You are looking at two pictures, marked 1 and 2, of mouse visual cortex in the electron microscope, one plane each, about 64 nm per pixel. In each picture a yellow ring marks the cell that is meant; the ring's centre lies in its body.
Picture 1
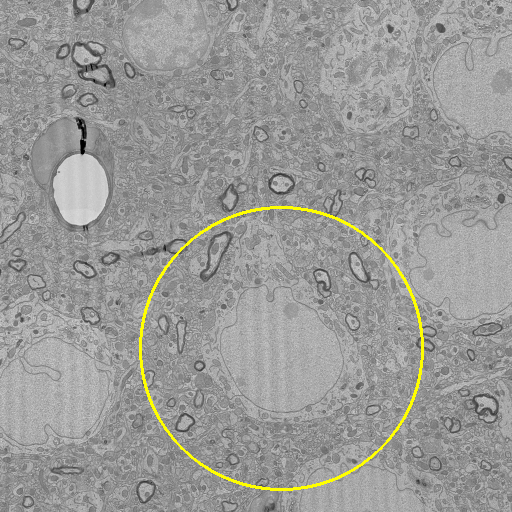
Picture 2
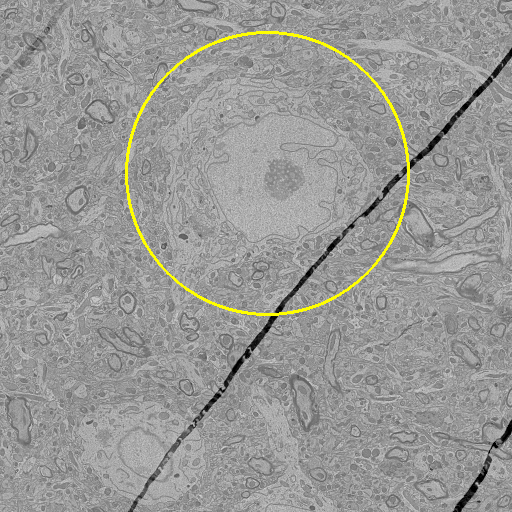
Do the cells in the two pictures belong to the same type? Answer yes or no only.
no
